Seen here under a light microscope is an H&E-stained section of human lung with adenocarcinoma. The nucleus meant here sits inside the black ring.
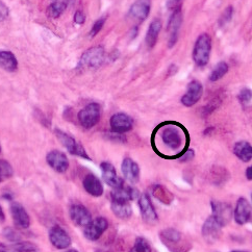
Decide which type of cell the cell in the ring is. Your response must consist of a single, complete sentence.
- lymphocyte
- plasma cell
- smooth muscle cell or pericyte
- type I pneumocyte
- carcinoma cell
Considered by cell type, the cell in the ring is a plasma cell.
